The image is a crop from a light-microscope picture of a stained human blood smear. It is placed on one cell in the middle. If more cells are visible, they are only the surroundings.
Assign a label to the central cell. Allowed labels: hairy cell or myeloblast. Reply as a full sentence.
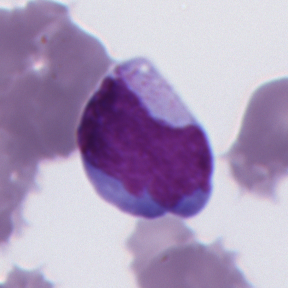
The centrally placed cell is classified as a myeloblast.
